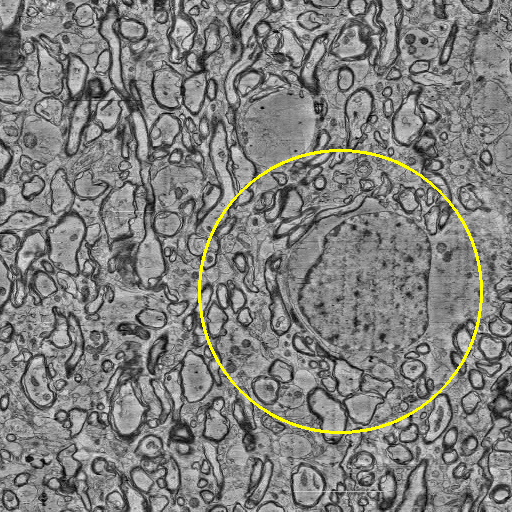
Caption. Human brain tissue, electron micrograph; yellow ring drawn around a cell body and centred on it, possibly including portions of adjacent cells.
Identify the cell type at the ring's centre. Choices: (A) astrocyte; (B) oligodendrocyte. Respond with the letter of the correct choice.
A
